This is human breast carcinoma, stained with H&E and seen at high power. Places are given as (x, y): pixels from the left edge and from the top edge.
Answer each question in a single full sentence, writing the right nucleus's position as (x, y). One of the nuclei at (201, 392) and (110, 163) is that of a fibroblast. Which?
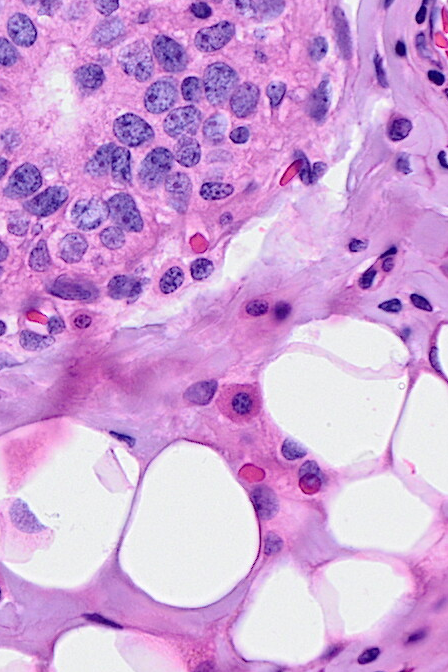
Of these two nuclei, it is the one at (201, 392) that belongs to a fibroblast.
